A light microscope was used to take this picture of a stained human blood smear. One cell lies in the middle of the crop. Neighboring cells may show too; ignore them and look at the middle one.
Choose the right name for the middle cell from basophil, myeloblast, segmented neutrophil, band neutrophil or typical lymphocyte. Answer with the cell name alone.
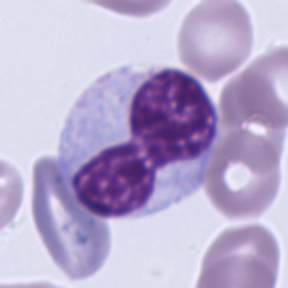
band neutrophil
